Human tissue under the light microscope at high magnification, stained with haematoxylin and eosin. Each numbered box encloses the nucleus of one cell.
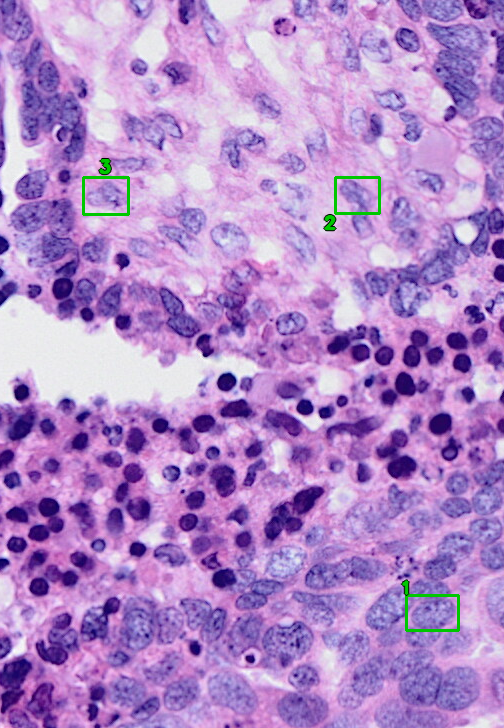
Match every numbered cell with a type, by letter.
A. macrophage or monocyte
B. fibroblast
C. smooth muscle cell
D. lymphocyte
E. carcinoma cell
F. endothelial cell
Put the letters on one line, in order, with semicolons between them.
E; B; B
